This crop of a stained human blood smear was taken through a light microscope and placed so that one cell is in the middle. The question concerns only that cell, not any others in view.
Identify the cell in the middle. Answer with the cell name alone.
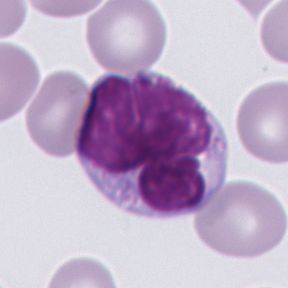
large granular lymphocyte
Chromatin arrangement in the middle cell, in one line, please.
Coarse clumps are absent, and the chromatin is fine throughout.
